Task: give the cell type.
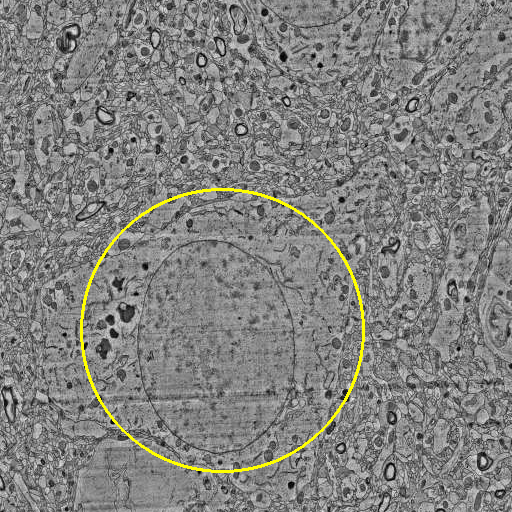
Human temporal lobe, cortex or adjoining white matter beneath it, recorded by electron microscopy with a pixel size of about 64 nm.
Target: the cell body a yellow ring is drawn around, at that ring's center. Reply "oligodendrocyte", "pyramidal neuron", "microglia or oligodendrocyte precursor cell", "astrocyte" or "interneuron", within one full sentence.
In this picture, the cell whose body lies at the ring's center is a pyramidal neuron.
